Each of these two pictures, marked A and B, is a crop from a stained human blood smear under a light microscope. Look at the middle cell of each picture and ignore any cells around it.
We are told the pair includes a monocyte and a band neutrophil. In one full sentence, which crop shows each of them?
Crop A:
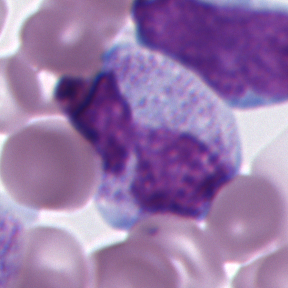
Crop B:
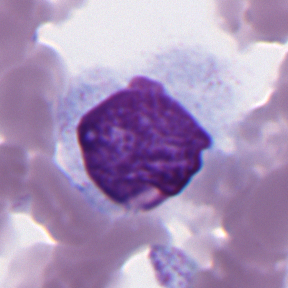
Okay, so crop A is a band neutrophil and crop B is a monocyte.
